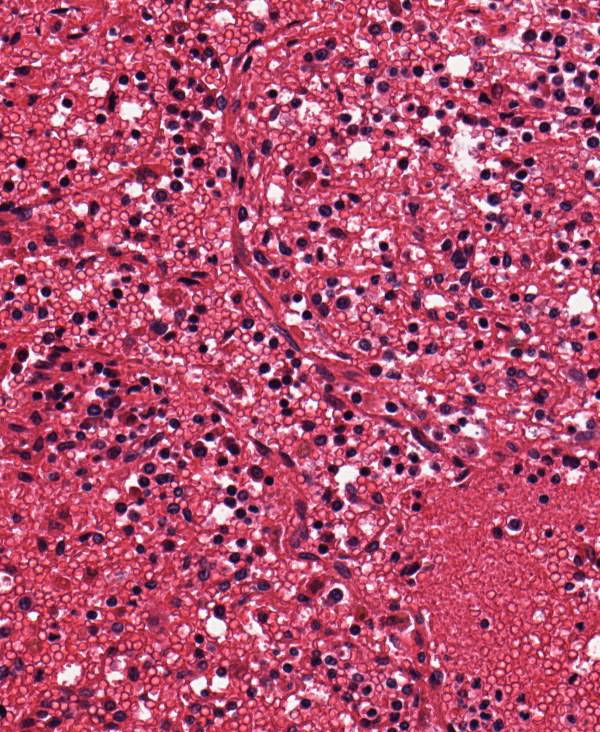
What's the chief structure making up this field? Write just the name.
red pulp of the spleen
